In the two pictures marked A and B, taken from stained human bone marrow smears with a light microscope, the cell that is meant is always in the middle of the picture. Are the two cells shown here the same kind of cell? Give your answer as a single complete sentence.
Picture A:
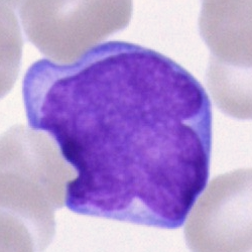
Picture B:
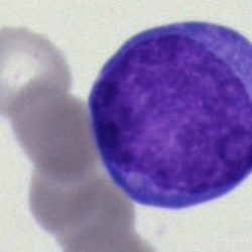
Yes; the cells in both pictures are blasts.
